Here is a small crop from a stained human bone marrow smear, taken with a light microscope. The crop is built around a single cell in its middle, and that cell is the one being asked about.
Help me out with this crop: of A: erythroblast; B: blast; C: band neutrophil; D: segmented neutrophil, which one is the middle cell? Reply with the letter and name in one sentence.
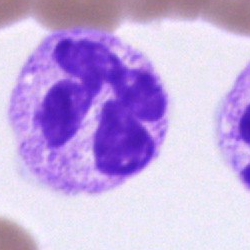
Option D is the correct one; it names the central cell as a segmented neutrophil.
